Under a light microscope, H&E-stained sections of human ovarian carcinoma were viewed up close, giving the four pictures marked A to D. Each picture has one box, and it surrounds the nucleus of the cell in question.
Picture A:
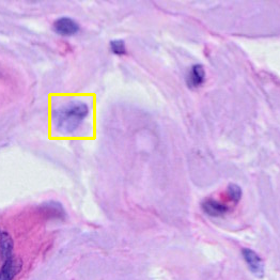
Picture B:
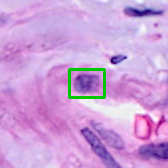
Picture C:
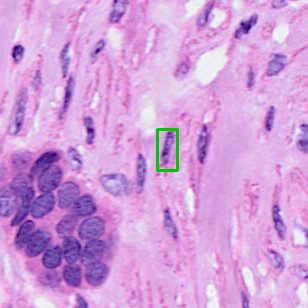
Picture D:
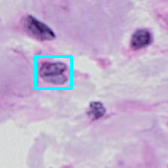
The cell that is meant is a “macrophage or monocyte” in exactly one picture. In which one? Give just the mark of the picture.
D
